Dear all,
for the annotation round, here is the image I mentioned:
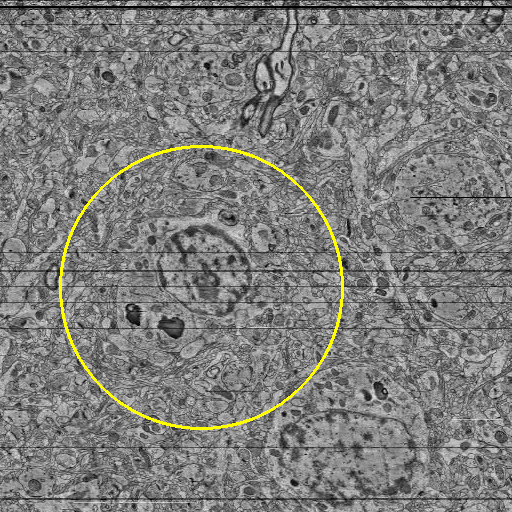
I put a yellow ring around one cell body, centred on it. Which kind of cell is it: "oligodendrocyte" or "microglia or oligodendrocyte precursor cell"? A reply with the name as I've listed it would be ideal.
microglia or oligodendrocyte precursor cell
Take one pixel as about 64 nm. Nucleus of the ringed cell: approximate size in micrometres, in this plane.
Roughly 6 micrometers across, in this plane.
